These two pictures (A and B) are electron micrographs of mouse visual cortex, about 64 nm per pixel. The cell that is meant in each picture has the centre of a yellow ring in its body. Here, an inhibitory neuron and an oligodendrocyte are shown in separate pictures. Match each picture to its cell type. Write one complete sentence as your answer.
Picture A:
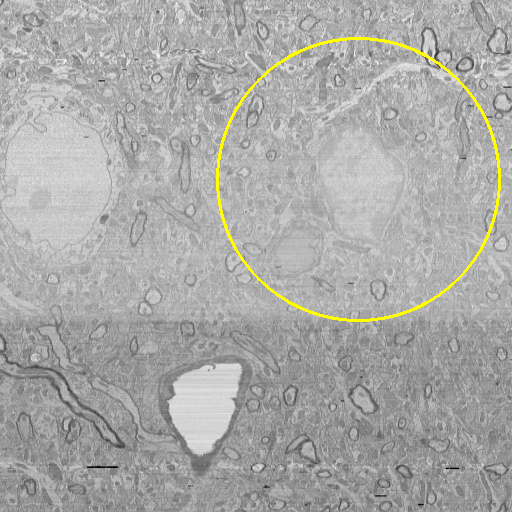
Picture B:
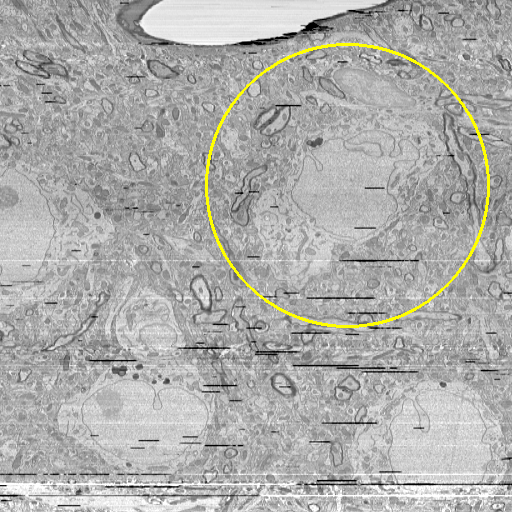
Picture A shows an oligodendrocyte and picture B shows an inhibitory neuron.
